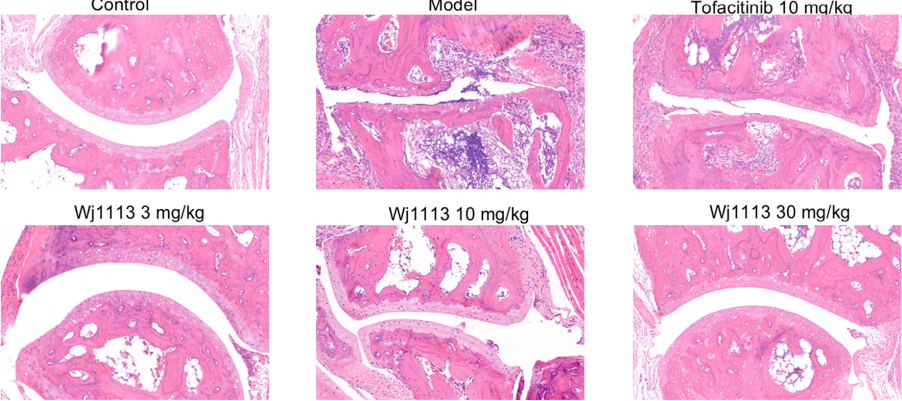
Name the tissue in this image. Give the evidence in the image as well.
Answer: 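Two rounded bone ends face each other across a narrow clear space.
Joint.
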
